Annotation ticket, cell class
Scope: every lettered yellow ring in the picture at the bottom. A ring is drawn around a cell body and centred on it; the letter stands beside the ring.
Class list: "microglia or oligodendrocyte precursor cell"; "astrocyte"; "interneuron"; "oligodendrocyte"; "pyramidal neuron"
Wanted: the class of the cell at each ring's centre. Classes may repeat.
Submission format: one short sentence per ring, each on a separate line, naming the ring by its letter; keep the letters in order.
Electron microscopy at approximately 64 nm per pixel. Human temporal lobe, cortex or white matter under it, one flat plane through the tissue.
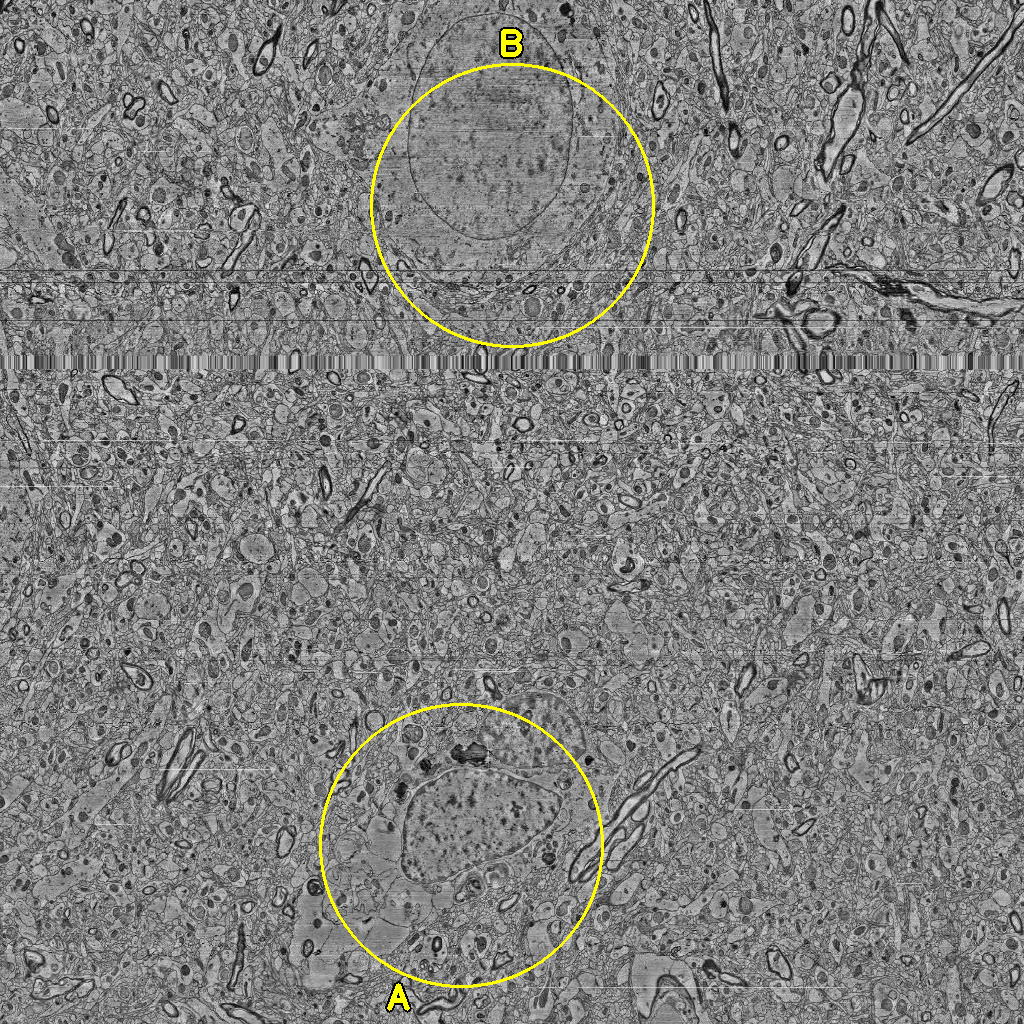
The centre of ring A is occupied by a microglial cell or oligodendrocyte precursor cell.
The centre of ring B is occupied by a pyramidal neuron.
